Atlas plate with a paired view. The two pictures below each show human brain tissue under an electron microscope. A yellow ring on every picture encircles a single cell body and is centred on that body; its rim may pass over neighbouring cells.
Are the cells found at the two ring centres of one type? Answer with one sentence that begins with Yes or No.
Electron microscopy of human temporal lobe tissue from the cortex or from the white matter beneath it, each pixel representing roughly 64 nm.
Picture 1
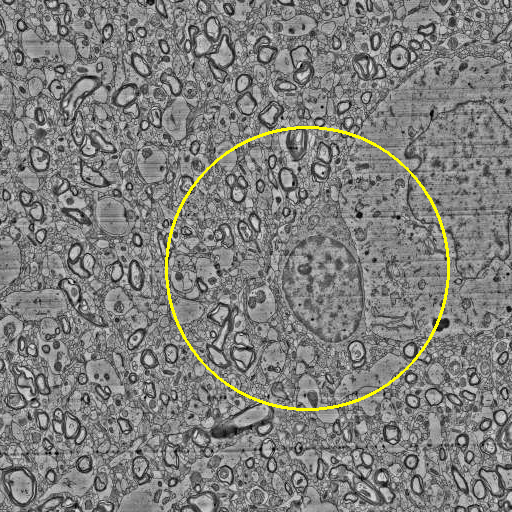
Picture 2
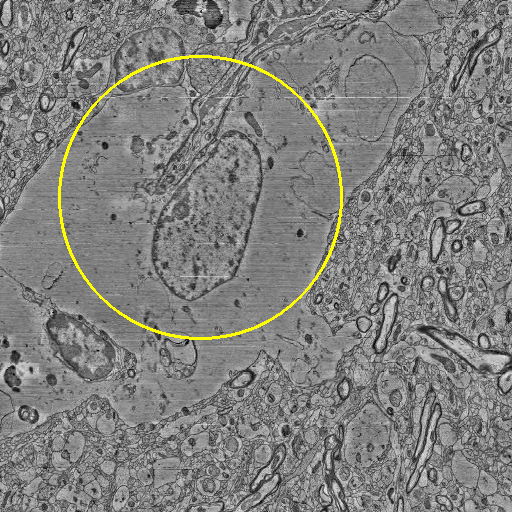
No, the two cells lying at the centres of the rings are of two types.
